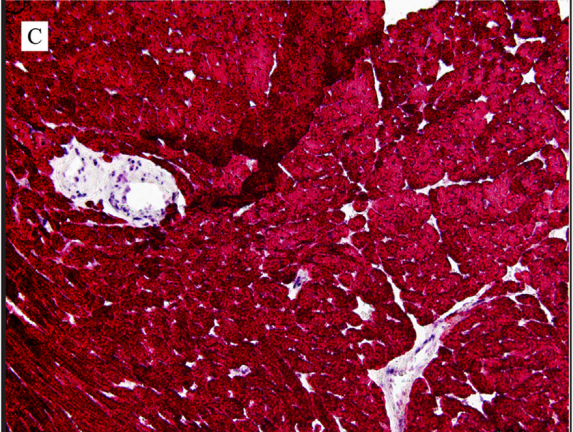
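This section of heart muscle shows cardiomyocytes stained deep red throughout their cytoplasm, so the whole field appears as dense red muscle. Fibres are cut in cross section in most of the field, forming irregular polygonal profiles, while at the lower left they run longitudinally in parallel bundles. Narrow white interstitial clefts separate groups of fibres and widen into small triangular spaces. At the upper left a blood vessel with a pale lumen and a loose, unstained wall containing small purple nuclei sits among the red muscle, standing out clearly against it.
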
